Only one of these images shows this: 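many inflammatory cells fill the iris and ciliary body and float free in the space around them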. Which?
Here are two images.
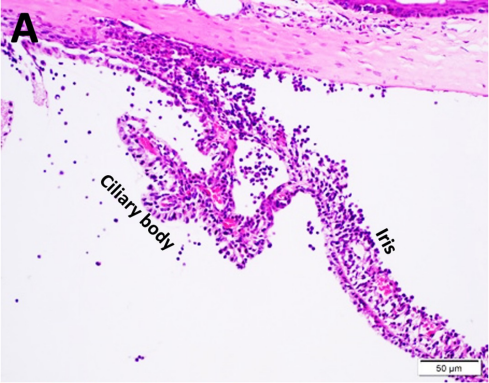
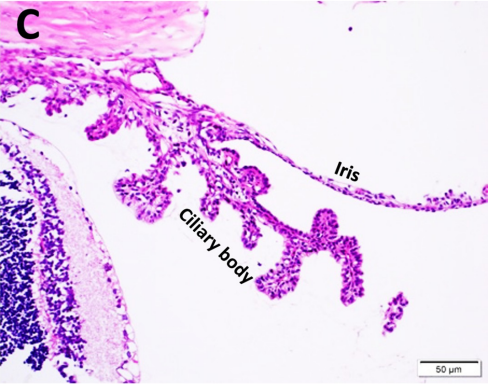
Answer: the first image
